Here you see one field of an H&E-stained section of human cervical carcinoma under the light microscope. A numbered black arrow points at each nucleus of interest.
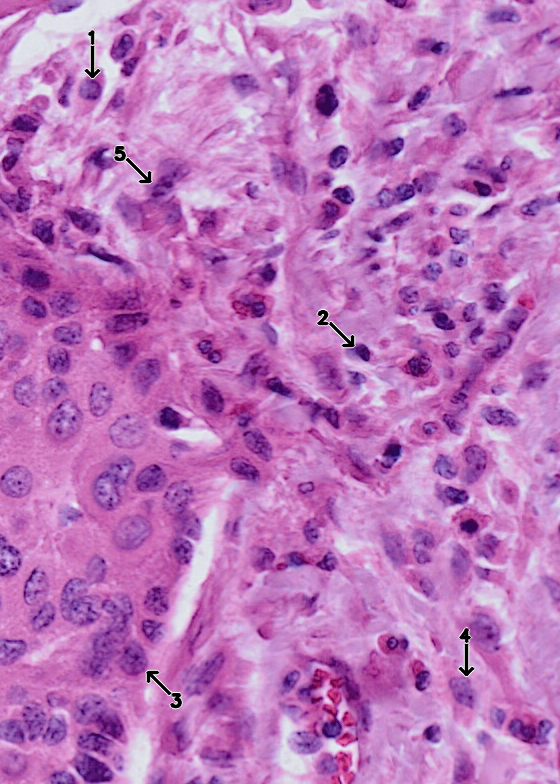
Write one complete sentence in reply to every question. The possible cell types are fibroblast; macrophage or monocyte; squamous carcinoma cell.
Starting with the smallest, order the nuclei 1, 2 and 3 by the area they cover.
The order from the smallest nucleus to the largest is 2, 1, 3.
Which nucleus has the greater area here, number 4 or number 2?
At about 2 times the area of nucleus 2, nucleus 4 is the larger of the two.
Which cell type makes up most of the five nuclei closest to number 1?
Most of the five nuclei nearest to number 1 are those of fibroblasts.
